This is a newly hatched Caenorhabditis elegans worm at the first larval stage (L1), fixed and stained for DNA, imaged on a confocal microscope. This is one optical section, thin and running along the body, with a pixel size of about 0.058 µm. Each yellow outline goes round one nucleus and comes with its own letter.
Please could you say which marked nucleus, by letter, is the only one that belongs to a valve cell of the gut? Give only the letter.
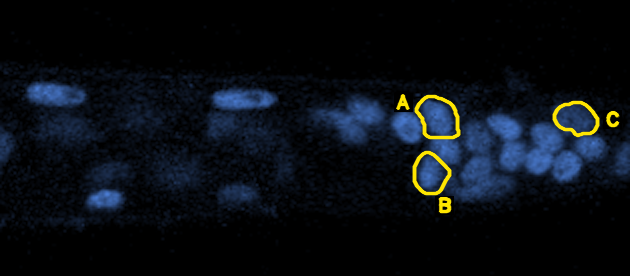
B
